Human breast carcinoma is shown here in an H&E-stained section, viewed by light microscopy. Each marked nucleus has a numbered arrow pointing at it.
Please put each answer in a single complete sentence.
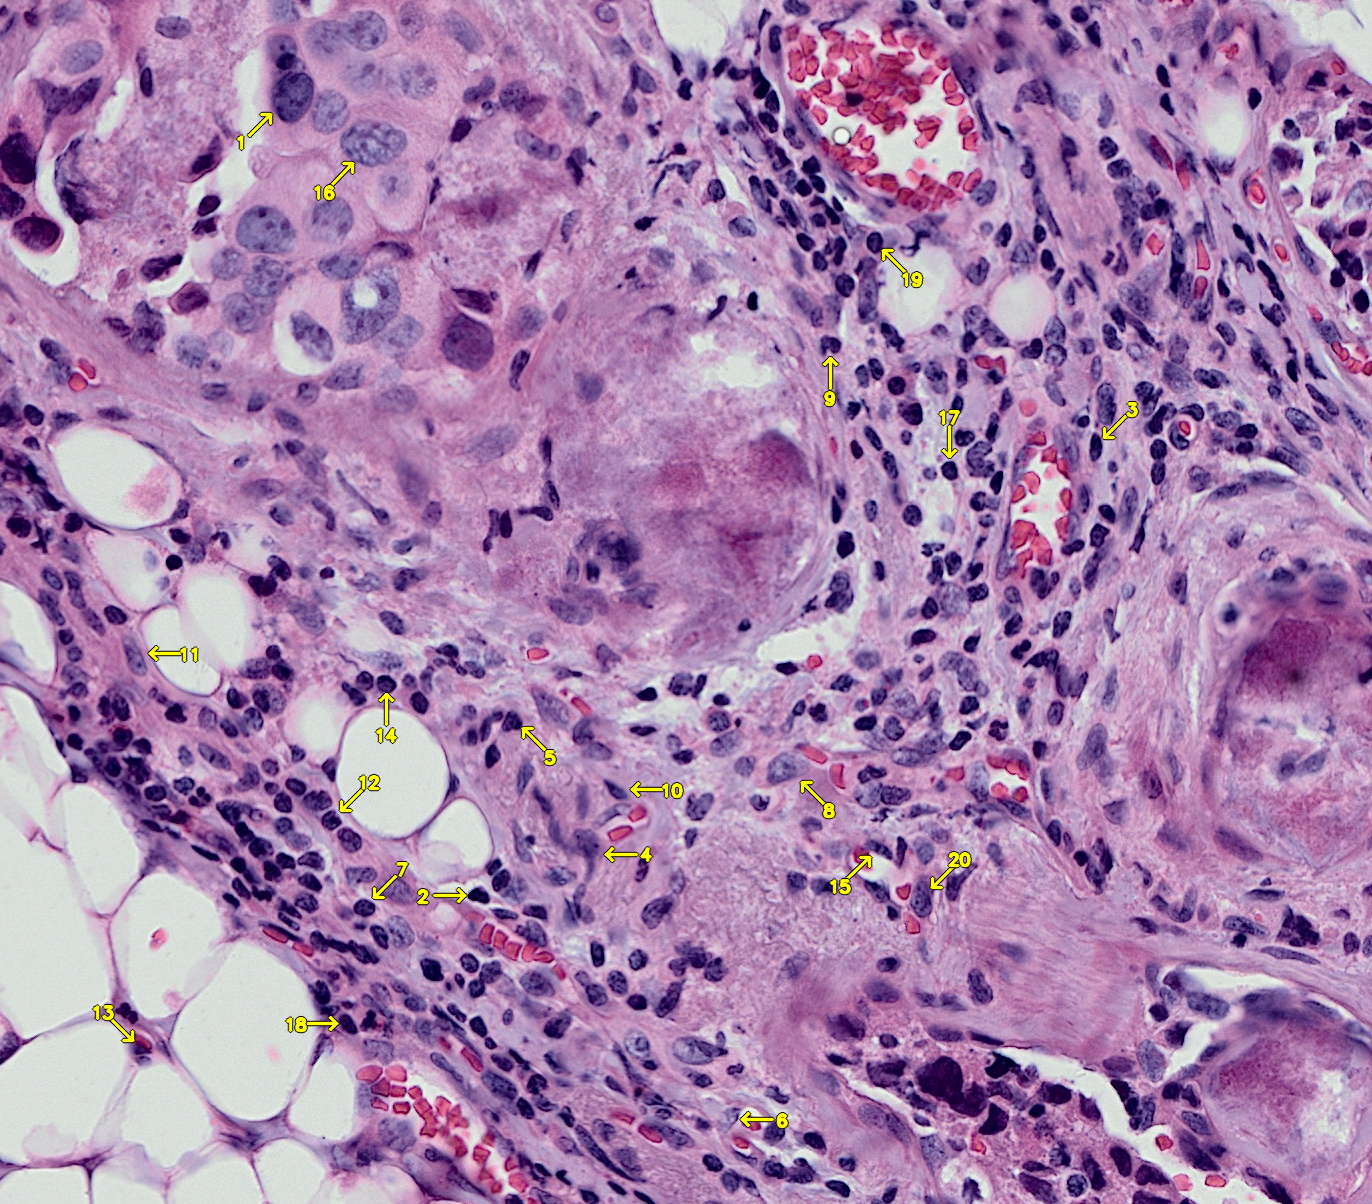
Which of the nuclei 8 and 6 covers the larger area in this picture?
Nucleus 8 is the larger one, covering about 2.5 times the area of nucleus 6.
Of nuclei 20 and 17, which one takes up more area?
The larger nucleus is 20, at roughly 2 times the area of 17.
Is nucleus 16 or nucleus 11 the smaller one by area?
Number 11 is smaller, since number 16 takes up about 4 times as much area.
